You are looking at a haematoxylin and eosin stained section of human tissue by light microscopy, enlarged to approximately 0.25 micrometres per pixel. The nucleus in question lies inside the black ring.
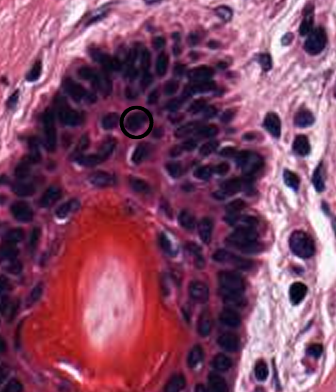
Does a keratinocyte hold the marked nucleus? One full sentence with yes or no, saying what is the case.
Yes, the marked nucleus forms part of a keratinocyte.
